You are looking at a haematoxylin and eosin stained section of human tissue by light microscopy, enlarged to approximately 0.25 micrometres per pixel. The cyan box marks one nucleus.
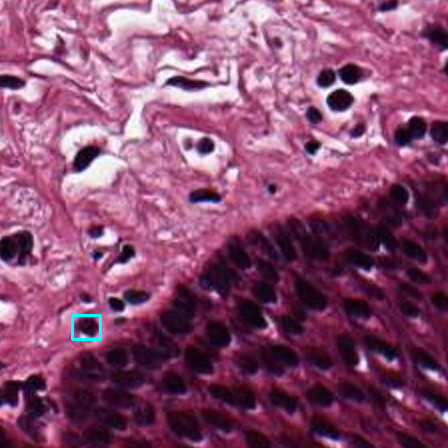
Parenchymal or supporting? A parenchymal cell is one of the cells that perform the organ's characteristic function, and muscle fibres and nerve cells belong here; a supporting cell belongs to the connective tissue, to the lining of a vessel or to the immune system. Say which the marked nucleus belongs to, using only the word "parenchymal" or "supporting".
supporting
